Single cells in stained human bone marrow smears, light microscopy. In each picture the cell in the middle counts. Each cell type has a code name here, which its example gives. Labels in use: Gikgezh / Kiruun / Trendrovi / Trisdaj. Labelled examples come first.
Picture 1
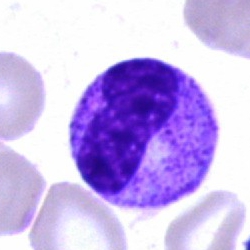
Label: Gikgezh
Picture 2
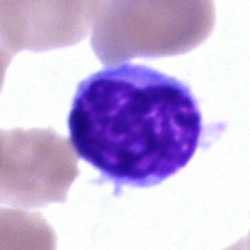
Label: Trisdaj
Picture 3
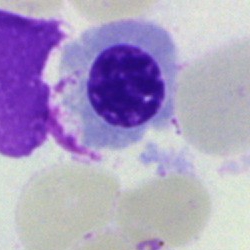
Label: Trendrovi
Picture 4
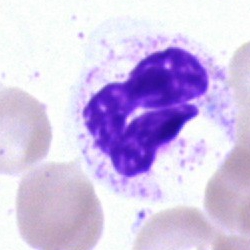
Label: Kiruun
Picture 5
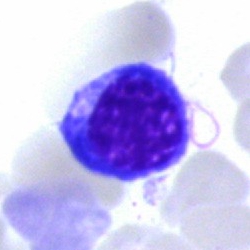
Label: Trendrovi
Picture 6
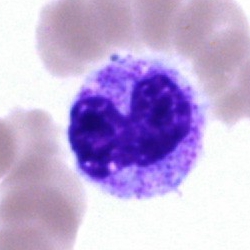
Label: Gikgezh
